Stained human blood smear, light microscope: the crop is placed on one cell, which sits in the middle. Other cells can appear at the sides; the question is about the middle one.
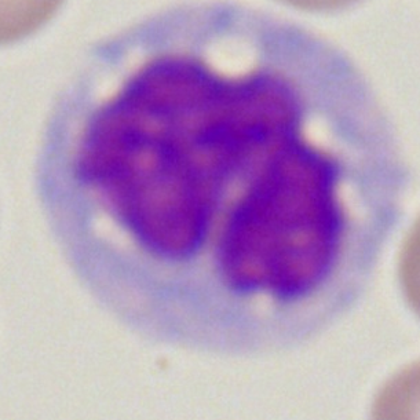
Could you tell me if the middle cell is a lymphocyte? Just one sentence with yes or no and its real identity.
No, the cell in the centre is to be called a monocyte instead of a lymphocyte.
